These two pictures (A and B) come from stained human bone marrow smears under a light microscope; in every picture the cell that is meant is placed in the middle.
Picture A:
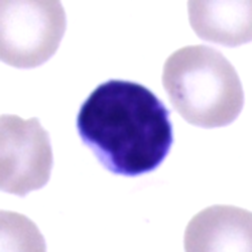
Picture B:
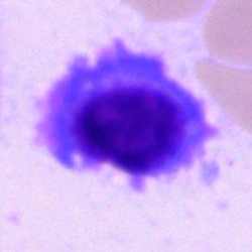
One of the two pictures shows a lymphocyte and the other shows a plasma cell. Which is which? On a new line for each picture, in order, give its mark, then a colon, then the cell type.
A: lymphocyte
B: plasma cell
